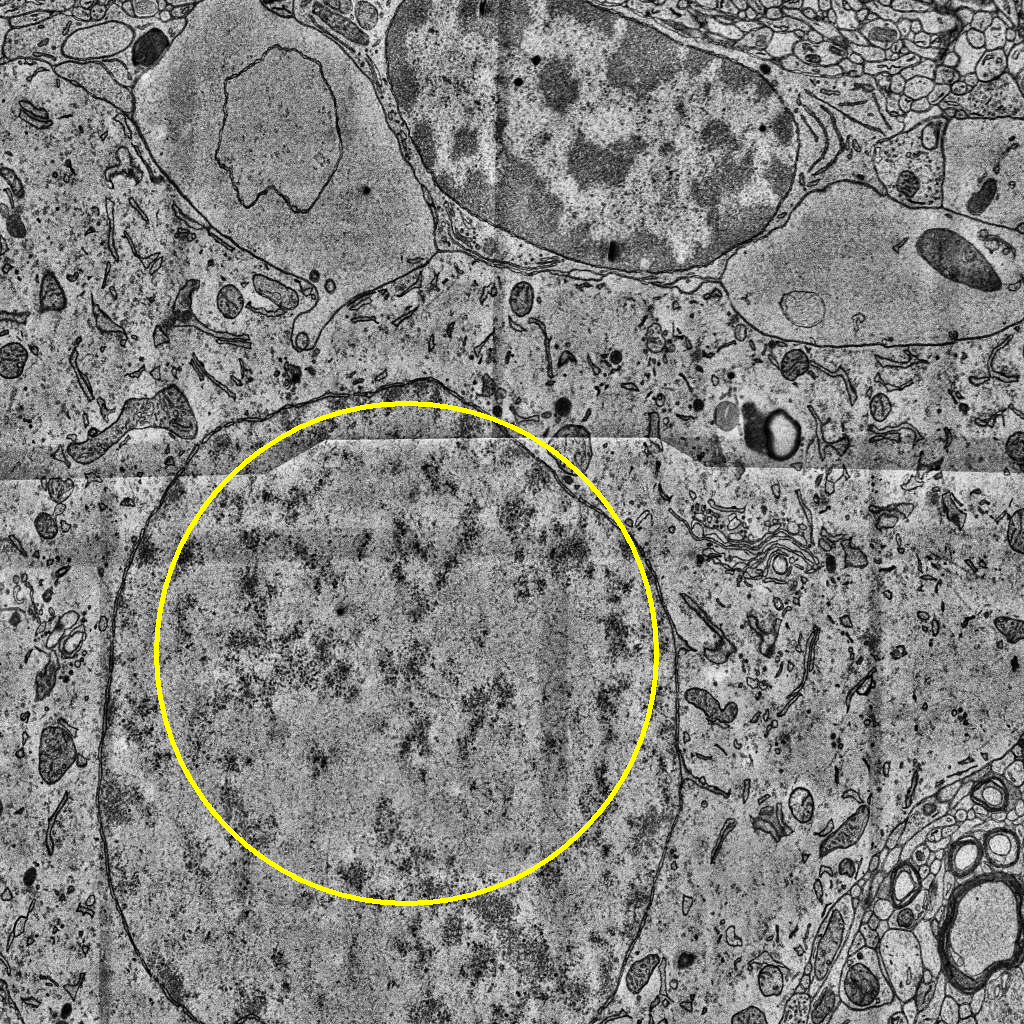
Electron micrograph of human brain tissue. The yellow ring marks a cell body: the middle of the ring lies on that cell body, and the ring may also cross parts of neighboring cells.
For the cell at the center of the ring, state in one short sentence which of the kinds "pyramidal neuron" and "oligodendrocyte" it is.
This ring's center lies on a pyramidal neuron.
